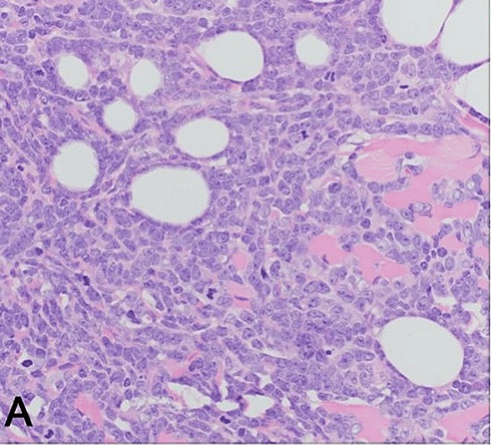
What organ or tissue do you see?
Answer: adipose tissue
